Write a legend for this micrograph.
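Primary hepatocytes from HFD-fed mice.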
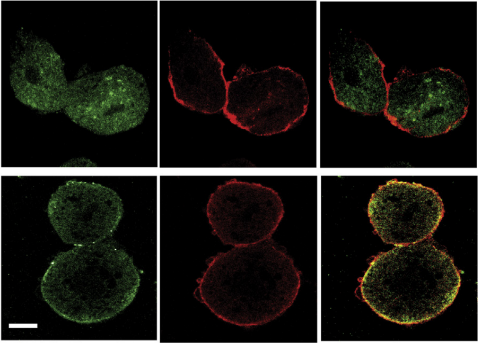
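The red signal forms a thin ring around the edge of each cell, tracing the plasma membrane. In the top row the green is fine and granular, spread through the cytoplasm with little at the rim. In the bottom row the green gathers along the cell border, where it overlaps the red and turns yellow in the merged image.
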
